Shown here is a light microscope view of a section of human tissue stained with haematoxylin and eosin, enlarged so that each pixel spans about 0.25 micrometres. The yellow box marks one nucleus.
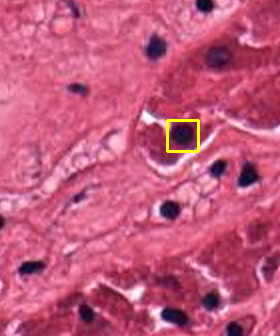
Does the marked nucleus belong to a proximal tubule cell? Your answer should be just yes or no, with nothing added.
yes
